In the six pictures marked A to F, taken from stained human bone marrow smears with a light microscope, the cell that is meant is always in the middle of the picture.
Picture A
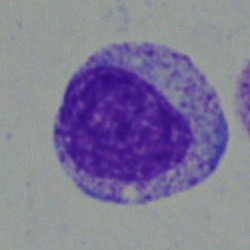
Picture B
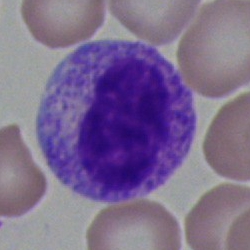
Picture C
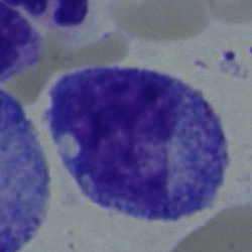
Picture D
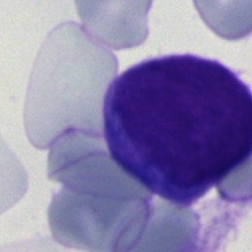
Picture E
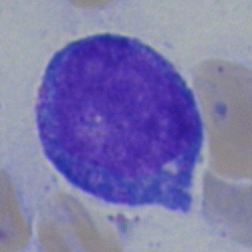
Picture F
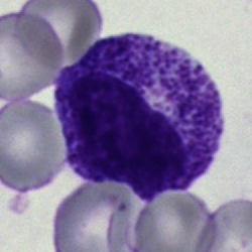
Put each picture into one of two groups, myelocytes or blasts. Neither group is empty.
A: myelocyte
B: myelocyte
C: myelocyte
D: blast
E: blast
F: myelocyte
